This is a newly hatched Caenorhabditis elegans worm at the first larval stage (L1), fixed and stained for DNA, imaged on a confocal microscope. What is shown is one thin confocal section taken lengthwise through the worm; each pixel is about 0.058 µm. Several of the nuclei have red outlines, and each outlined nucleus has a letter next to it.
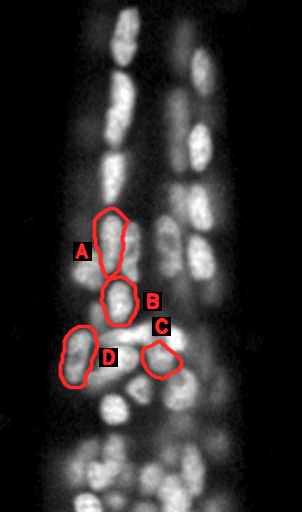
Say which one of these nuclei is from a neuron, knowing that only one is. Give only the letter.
B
